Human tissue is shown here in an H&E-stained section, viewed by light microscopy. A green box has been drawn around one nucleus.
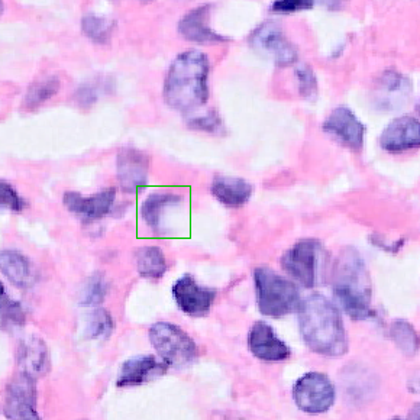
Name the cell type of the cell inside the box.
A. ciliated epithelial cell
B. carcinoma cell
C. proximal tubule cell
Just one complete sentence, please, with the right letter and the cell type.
Given that the cell inside the box is a carcinoma cell, option B is the correct one.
